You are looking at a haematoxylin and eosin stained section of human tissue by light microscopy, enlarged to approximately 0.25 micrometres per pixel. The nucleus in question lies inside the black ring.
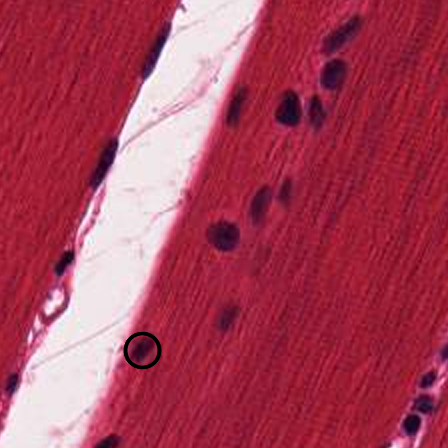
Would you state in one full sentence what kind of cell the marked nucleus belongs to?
The marked nucleus sits within a skeletal muscle fibre.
